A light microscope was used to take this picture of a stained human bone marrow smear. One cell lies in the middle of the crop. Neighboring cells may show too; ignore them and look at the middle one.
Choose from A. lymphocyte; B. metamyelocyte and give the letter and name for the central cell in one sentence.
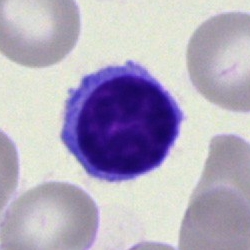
The correct identification, given in option A, is that the central cell is a lymphocyte.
